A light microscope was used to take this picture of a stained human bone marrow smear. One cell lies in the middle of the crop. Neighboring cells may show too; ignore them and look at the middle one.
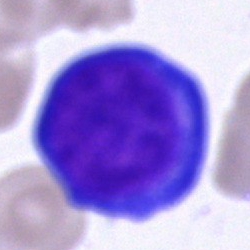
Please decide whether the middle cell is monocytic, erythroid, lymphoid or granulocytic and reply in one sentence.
The cell at the center is recorded as erythroid in lineage.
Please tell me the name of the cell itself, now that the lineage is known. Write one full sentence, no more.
The cell at the middle of the crop is recognized as a proerythroblast.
